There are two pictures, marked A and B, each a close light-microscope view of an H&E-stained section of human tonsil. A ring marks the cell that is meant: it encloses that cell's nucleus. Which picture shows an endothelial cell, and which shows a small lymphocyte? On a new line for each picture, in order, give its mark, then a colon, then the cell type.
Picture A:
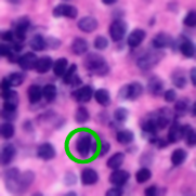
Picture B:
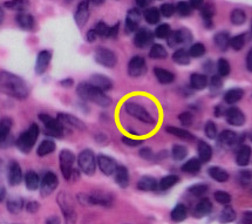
A: small lymphocyte
B: endothelial cell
